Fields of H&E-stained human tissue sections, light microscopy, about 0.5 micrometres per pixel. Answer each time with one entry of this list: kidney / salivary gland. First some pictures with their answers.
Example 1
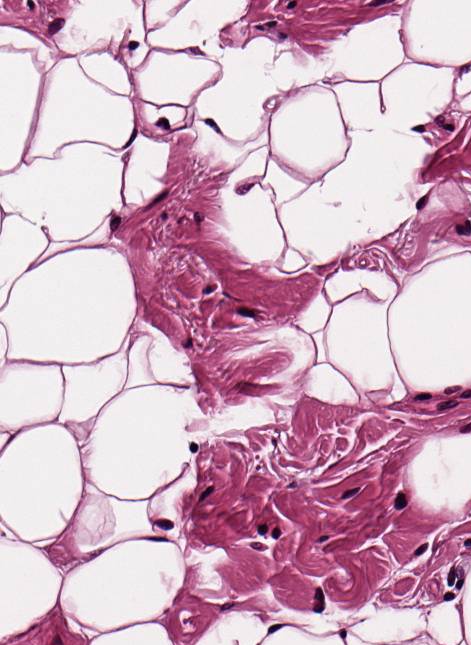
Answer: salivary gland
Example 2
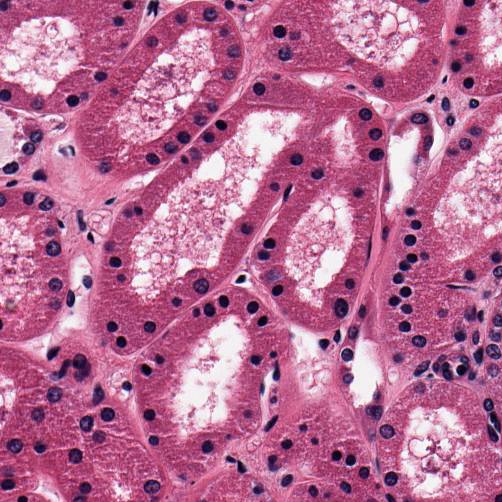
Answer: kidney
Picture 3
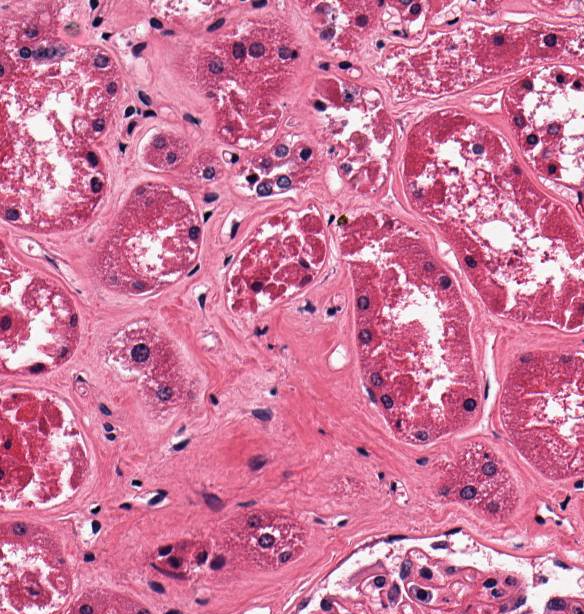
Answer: kidney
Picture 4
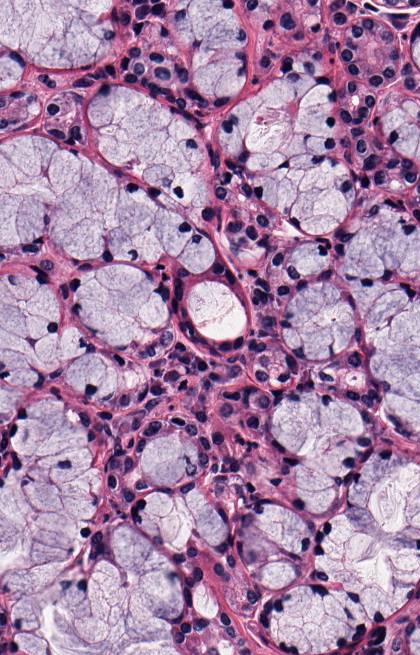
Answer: salivary gland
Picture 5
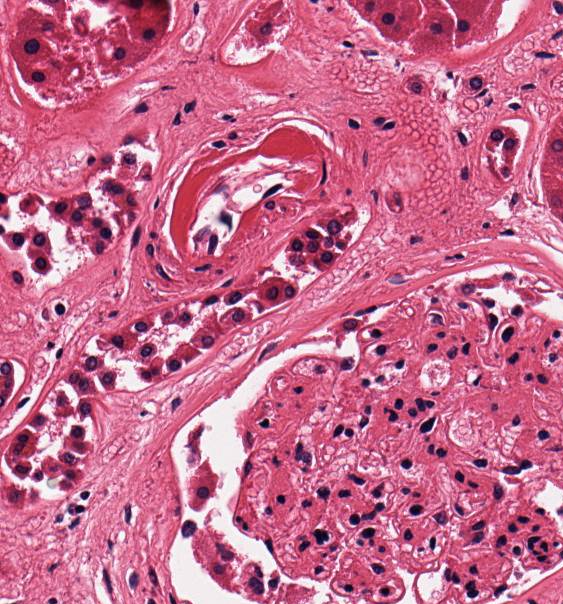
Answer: kidney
